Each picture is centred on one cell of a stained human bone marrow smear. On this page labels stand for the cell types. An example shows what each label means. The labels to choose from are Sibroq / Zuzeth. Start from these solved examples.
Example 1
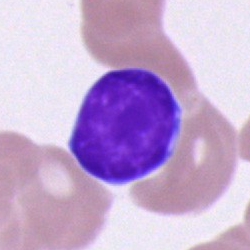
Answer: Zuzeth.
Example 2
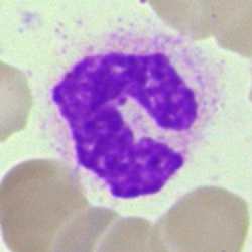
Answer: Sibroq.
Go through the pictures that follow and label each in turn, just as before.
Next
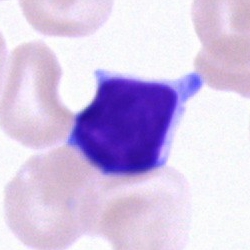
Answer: Zuzeth.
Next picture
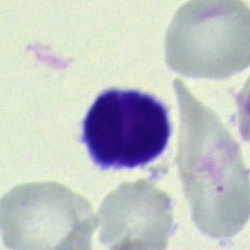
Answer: Zuzeth.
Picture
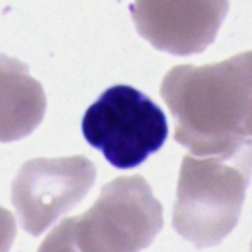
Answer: Zuzeth.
